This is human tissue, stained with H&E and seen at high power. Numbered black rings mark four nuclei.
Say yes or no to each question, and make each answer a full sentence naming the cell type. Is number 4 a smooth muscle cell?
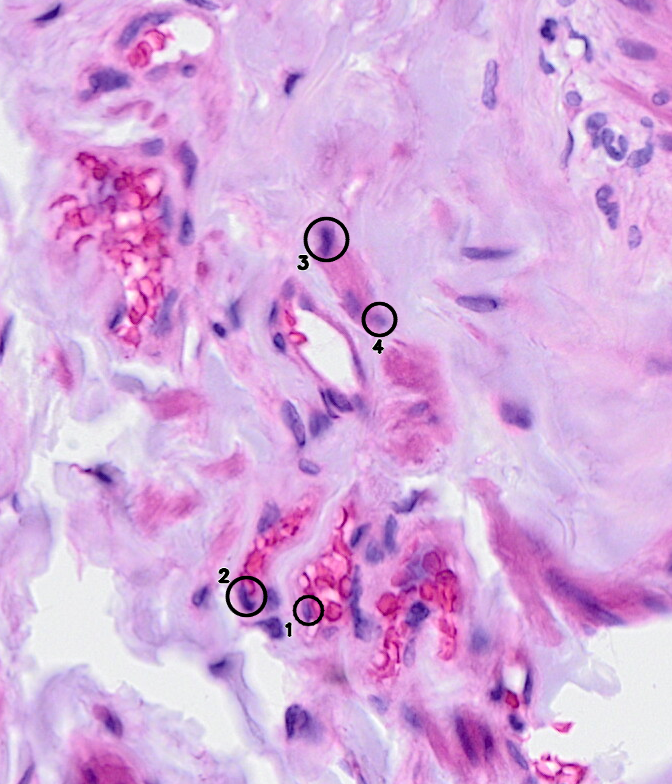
Yes, the marked cell with number 4 is a smooth muscle cell.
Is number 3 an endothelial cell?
No, cell 3 should be read as a smooth muscle cell instead of an endothelial cell.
